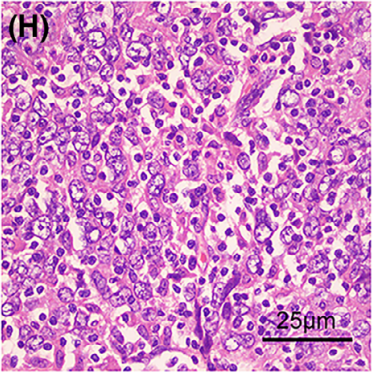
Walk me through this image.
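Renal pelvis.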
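This section shows a carcinoma made of large malignant epithelial cells lying in loose sheets and cords. Their nuclei are large, oval and vesicular, with open chromatin and distinct nucleoli. The cytoplasm is pale pink and the borders between neighbouring tumour cells are poorly defined. Small, round, darkly stained lymphoid nuclei are scattered among the tumour cells, together with thin strands of pink stroma.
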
